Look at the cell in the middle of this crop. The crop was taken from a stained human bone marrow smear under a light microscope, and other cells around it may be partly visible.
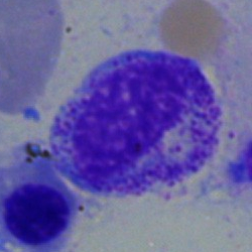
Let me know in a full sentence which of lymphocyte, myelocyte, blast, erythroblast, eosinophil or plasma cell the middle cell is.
The middle cell in this particular crop is a myelocyte.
